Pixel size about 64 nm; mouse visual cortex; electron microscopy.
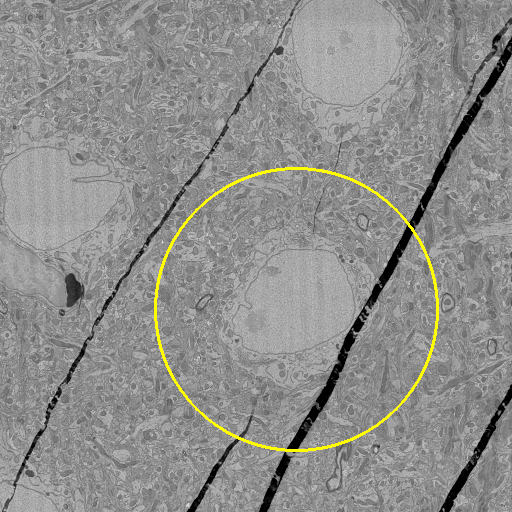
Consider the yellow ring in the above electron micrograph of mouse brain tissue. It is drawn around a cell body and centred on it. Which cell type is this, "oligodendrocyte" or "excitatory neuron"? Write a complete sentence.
The cell in question is an excitatory neuron.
